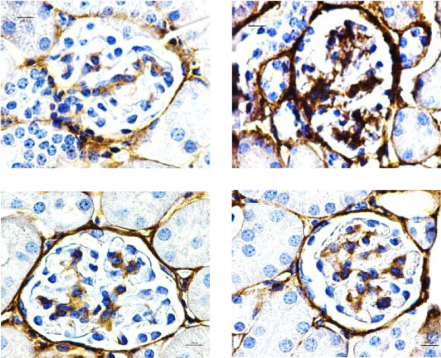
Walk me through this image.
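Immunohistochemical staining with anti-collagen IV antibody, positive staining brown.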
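These are four kidney glomeruli, each surrounded by cross-cut tubules whose cuboidal epithelial cells have blue nuclei and pale cytoplasm. Brown stain outlines the capsule around each glomerulus and the basement membranes of the tubules, and also lies within the glomerular tuft between the blue nuclei. In one of the images, the tuft holds much denser, clumped brown deposits than in the others.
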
